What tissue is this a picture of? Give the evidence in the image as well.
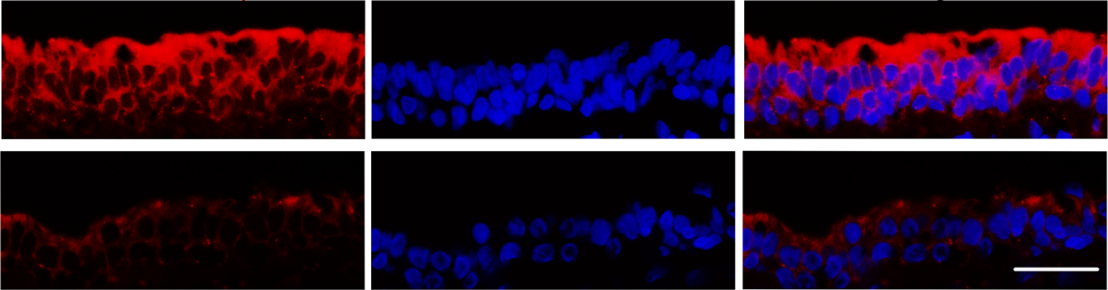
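Epithelium. A band of closely packed cells with several tiers of oval blue nuclei. Red cytoplasmic signal outlines the cells of the band. Dark, empty space lies along the top edge of the cell layer.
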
